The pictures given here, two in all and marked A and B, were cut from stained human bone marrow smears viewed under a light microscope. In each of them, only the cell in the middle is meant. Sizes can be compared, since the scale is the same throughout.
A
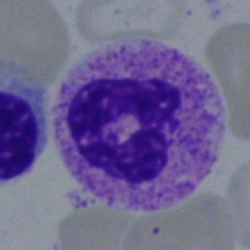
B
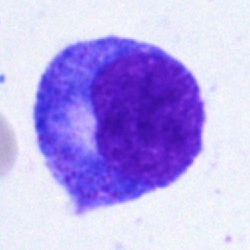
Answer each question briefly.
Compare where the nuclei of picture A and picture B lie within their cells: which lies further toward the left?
A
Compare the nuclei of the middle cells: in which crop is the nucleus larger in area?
B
